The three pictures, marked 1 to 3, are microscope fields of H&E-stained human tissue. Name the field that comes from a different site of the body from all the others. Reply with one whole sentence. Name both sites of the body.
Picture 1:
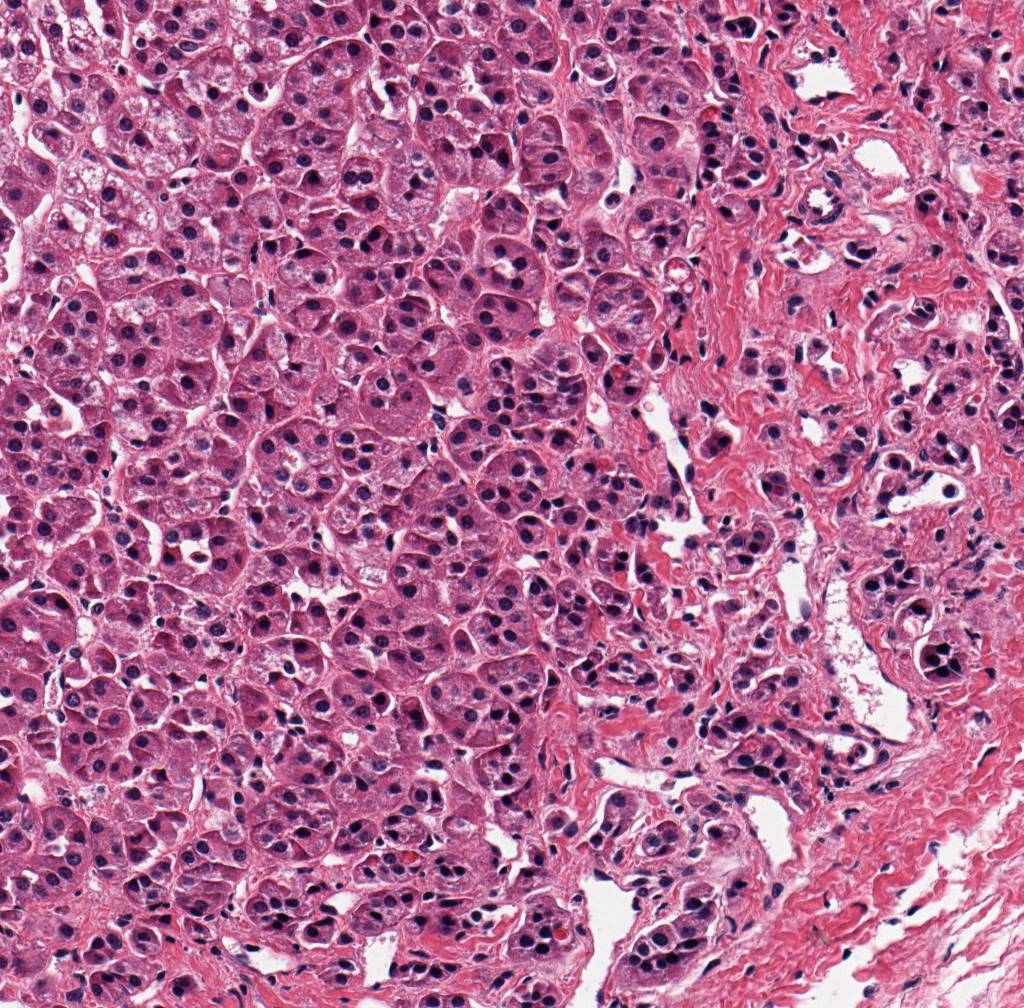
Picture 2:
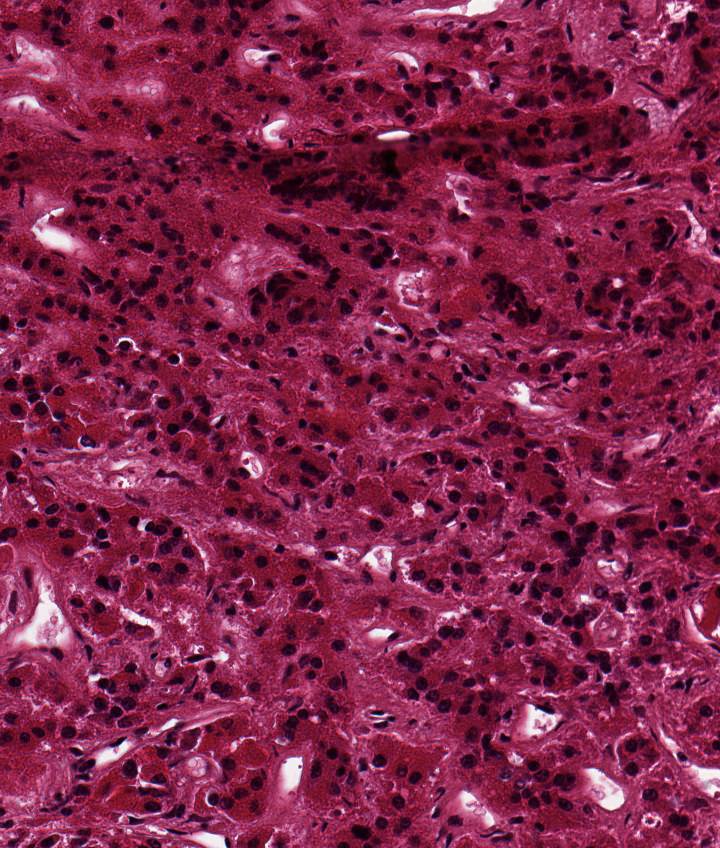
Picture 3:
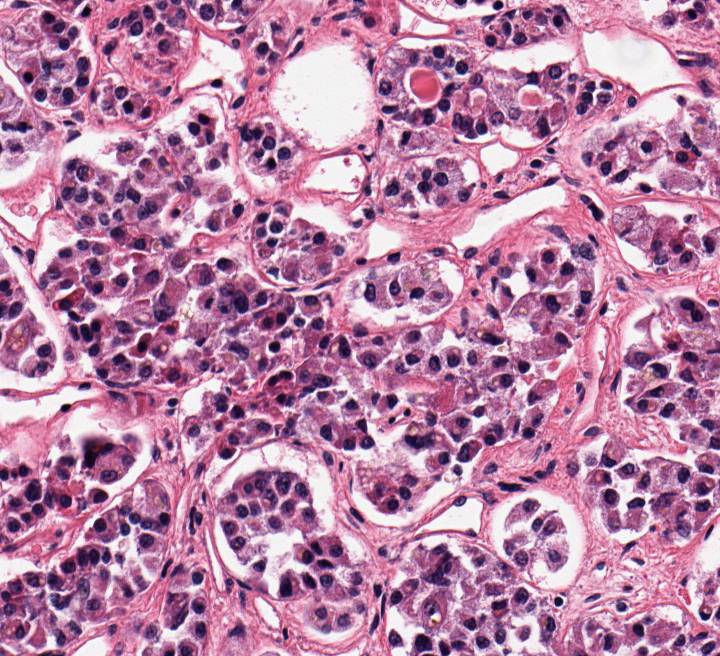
All pictures except 1 come from the pituitary; picture 1 comes from the adrenal gland.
